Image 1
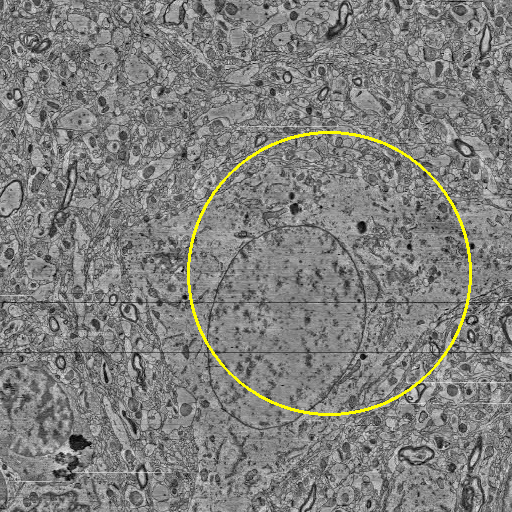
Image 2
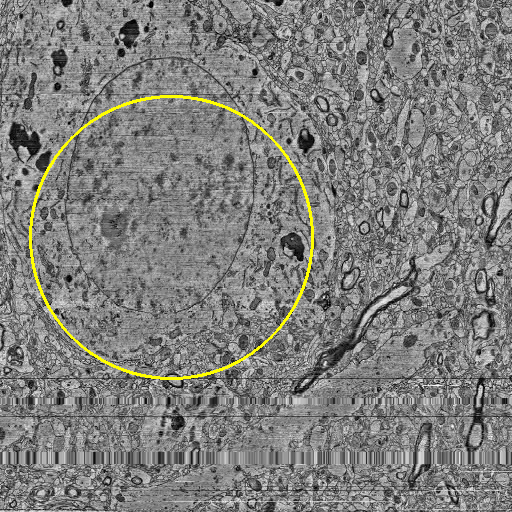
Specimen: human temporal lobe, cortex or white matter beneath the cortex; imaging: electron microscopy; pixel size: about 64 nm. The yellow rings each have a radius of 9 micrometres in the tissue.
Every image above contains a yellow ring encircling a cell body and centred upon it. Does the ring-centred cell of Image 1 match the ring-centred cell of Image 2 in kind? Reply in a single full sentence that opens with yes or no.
Yes, the cell at the ring's centre in Image 1 is the same kind as that in Image 2.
